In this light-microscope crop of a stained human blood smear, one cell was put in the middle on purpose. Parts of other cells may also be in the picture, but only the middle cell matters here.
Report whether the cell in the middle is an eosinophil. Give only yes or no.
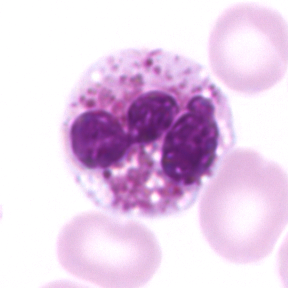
yes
